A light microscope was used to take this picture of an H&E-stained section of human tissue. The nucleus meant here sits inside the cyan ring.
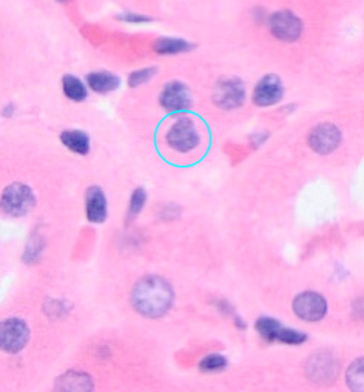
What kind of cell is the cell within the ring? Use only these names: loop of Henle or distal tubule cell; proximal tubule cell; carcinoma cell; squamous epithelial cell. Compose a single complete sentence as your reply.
Assigned to a cell type, the cell within the ring is a loop of Henle or distal tubule cell.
